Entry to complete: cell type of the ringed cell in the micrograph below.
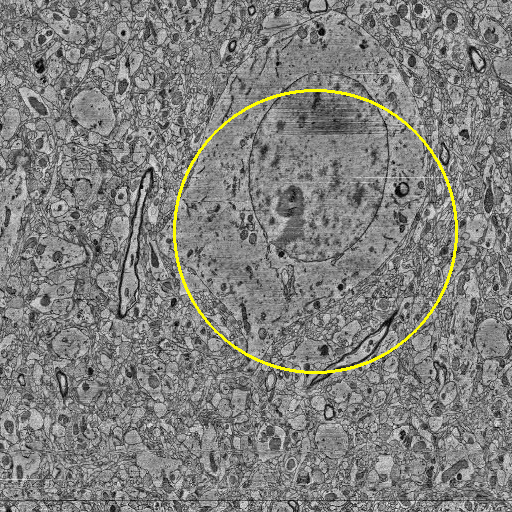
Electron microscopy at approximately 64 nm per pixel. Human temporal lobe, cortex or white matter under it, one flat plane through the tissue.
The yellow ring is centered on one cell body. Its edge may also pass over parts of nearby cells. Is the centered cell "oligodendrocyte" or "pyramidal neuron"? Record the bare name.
pyramidal neuron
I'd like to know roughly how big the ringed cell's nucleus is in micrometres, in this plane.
About 13 by 9 micrometers, in this plane.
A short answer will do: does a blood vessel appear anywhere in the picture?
No.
